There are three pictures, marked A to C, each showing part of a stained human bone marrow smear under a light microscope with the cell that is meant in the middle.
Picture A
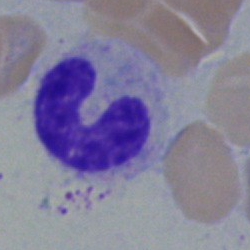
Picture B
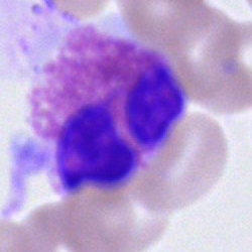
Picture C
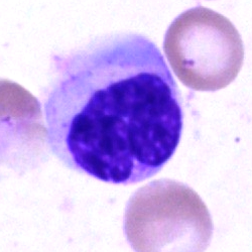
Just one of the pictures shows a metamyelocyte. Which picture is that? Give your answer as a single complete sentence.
Picture C shows the metamyelocyte.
